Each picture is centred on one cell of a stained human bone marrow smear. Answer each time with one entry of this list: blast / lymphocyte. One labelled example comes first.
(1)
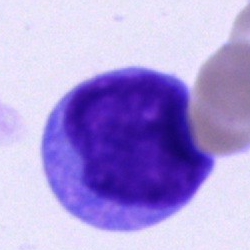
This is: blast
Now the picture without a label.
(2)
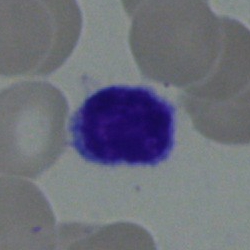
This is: lymphocyte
